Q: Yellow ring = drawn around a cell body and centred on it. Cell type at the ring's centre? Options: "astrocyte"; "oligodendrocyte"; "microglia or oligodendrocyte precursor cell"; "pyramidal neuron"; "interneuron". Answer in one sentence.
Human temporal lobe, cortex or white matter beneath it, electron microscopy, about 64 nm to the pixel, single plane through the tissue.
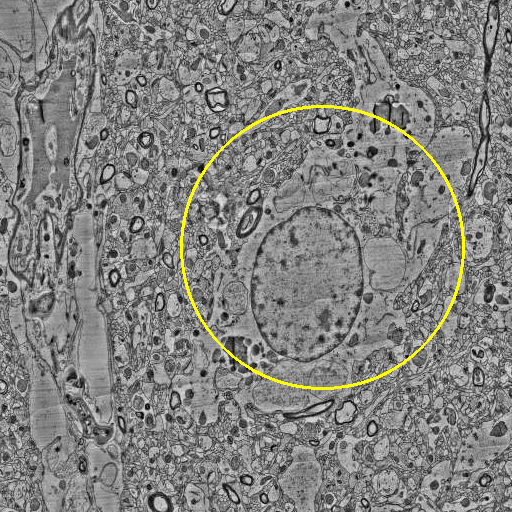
Centred in the ring is an astrocyte.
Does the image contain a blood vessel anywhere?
Yes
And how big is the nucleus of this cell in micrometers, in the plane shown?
The nucleus is approximately 10 micrometers long by 7 micrometers wide in this plane.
